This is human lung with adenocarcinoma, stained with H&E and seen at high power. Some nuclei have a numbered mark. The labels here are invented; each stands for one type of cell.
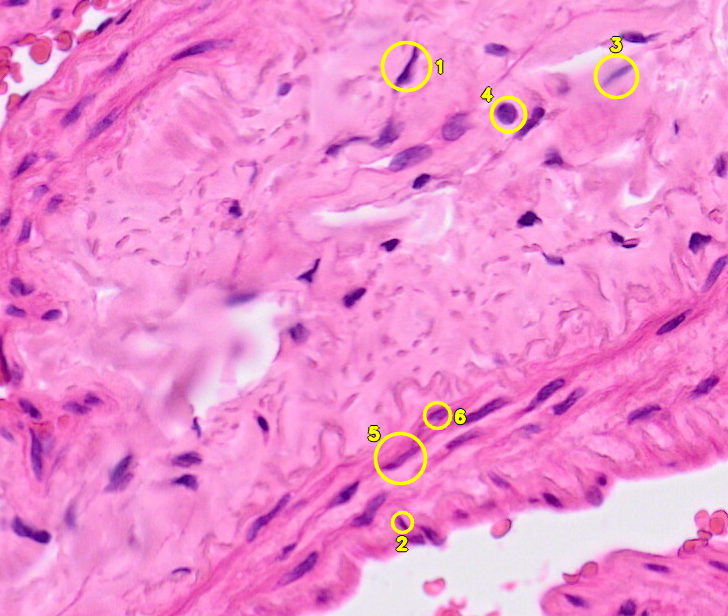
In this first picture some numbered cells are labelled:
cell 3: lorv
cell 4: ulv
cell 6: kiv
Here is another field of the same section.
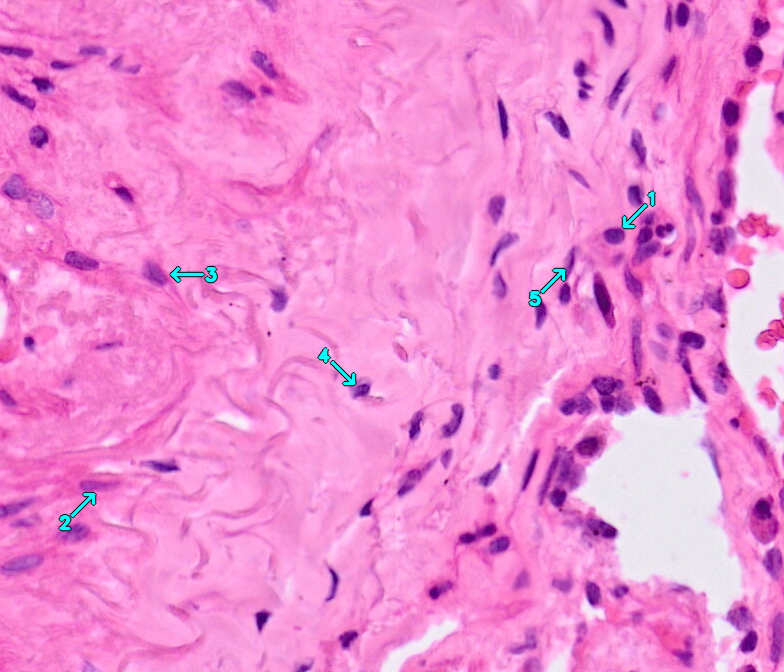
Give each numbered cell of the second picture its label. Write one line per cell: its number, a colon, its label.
1: ulv
2: kiv
3: kiv
4: lorv
5: lorv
